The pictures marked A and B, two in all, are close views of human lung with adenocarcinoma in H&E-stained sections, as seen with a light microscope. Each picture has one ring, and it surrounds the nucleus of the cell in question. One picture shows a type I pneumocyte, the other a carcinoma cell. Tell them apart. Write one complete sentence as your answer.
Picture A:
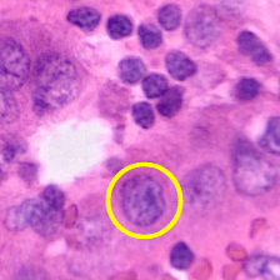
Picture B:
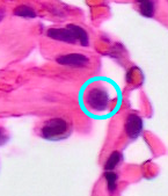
The cell in picture A is a carcinoma cell, and the one in picture B is a type I pneumocyte.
